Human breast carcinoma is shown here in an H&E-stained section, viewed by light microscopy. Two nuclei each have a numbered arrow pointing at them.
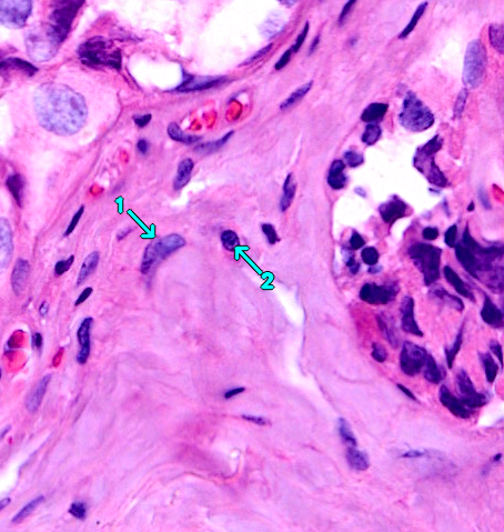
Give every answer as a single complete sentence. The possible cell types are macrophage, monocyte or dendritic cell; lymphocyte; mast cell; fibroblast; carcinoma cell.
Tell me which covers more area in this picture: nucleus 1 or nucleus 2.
It is nucleus 1, which covers about 2 times the area of nucleus 2.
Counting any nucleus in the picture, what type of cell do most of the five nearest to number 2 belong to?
Fibroblasts account for more than half of the five nuclei nearest to number 2.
